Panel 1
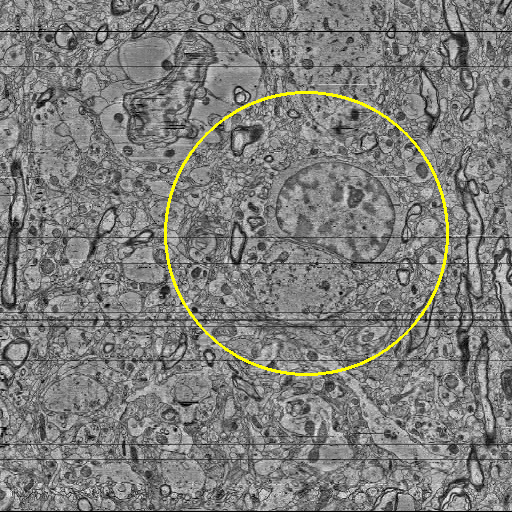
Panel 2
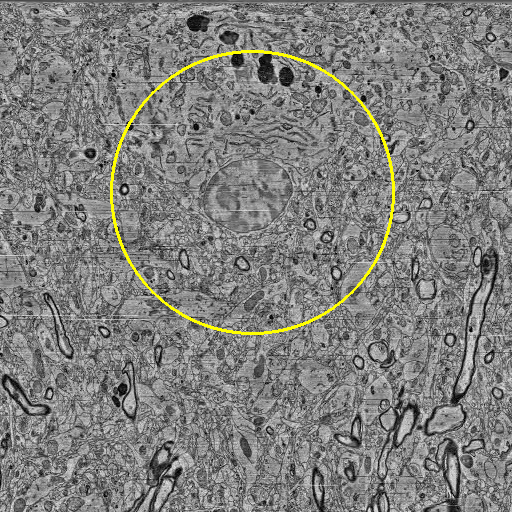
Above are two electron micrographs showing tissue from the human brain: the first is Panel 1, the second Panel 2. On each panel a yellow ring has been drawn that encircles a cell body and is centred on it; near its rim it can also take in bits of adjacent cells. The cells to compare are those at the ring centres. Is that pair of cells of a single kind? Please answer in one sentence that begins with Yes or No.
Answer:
No, the ring-centred cells of Panel 1 and Panel 2 belong to two kinds.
